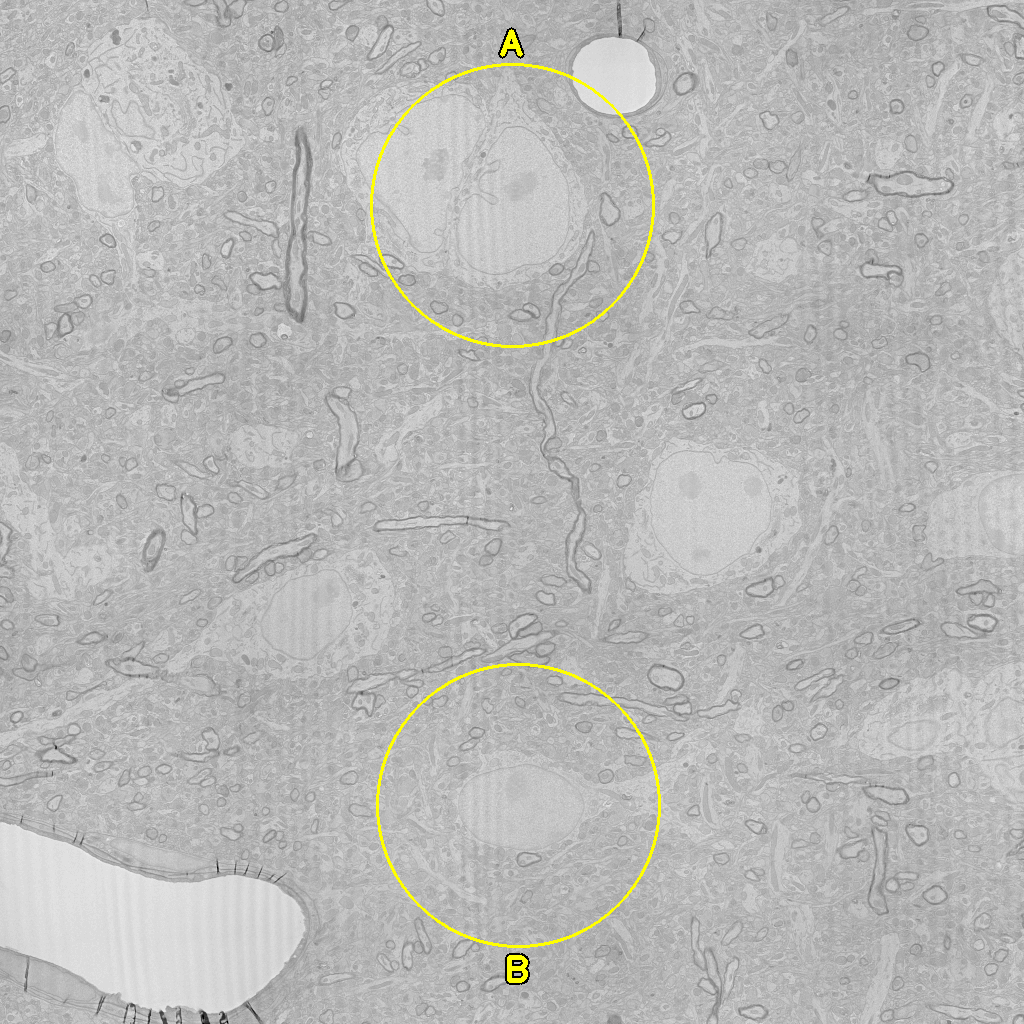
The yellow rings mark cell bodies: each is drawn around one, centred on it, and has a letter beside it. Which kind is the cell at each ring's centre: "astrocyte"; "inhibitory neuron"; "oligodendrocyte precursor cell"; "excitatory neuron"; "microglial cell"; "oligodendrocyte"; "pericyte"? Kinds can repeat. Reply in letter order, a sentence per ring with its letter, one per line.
At the centre of ring A lies an excitatory neuron.
At the centre of ring B lies an astrocyte.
